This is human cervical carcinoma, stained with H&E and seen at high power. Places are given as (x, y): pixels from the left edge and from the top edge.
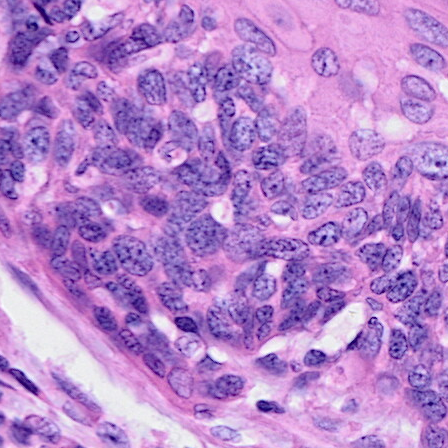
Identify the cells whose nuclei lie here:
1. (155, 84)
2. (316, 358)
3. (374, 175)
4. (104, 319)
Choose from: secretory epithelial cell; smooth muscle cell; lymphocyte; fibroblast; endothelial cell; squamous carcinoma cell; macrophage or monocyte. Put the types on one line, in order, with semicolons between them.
squamous carcinoma cell; lymphocyte; squamous carcinoma cell; squamous carcinoma cell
